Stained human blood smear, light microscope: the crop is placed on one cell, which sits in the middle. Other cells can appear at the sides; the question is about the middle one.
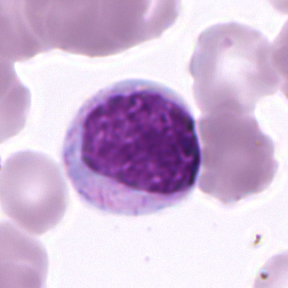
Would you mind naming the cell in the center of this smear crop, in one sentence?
At the center of the crop sits a metamyelocyte.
